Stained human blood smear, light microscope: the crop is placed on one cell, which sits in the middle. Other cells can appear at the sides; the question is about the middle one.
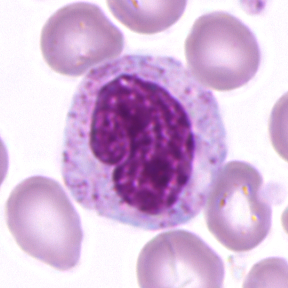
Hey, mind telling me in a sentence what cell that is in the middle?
Framed in the middle of the crop is a band neutrophil.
